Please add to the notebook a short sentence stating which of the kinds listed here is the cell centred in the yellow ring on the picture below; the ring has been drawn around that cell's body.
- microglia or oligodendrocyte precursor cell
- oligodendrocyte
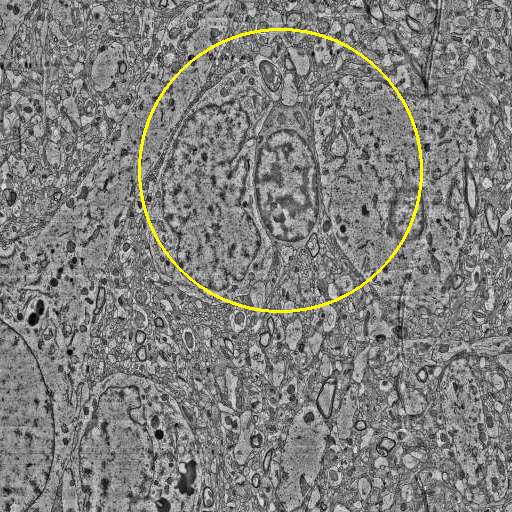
The cell centred in the yellow ring is an oligodendrocyte.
